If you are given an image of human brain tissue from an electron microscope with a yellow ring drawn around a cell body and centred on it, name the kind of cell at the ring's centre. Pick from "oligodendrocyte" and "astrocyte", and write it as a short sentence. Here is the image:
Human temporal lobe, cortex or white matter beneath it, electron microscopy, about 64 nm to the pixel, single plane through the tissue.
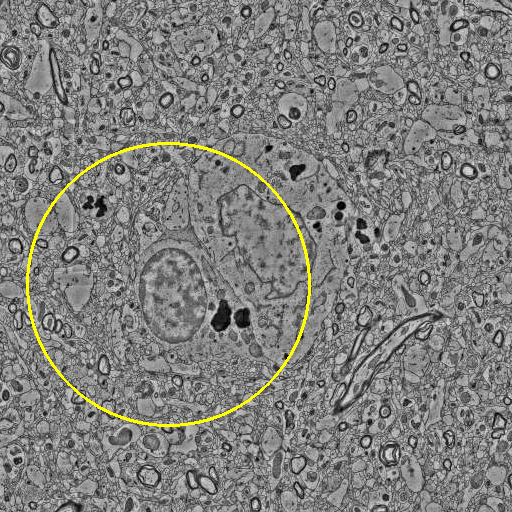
The cell at the ring's centre is an oligodendrocyte.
